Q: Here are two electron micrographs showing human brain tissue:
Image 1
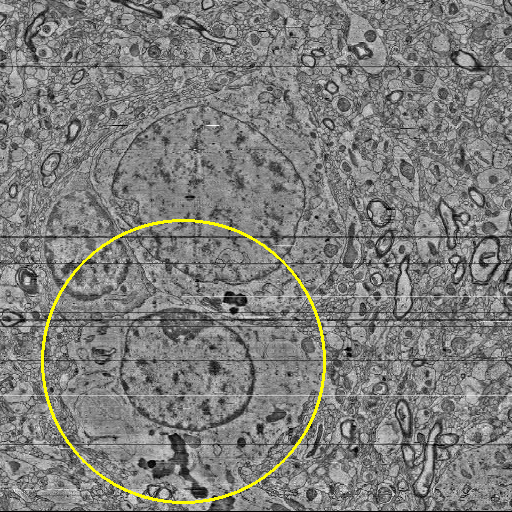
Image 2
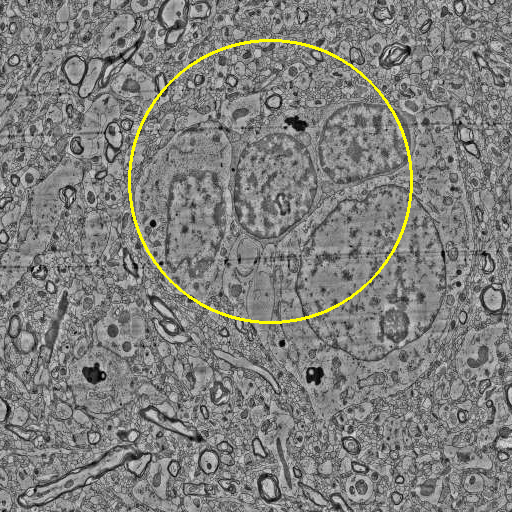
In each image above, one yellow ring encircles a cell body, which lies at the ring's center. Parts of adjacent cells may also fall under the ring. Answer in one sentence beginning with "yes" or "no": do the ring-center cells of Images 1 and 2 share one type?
No, in Images 1 and 2, the ring-center cells are of two types.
